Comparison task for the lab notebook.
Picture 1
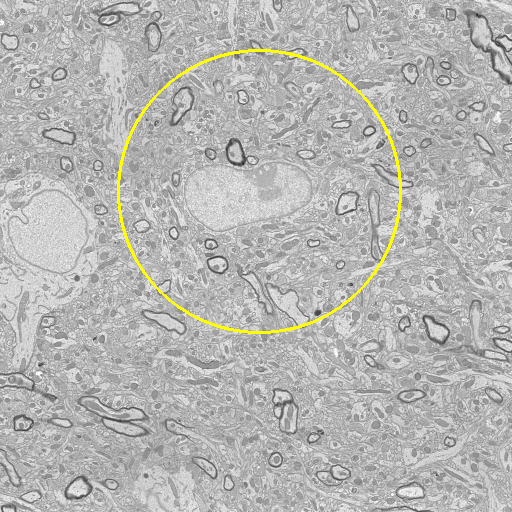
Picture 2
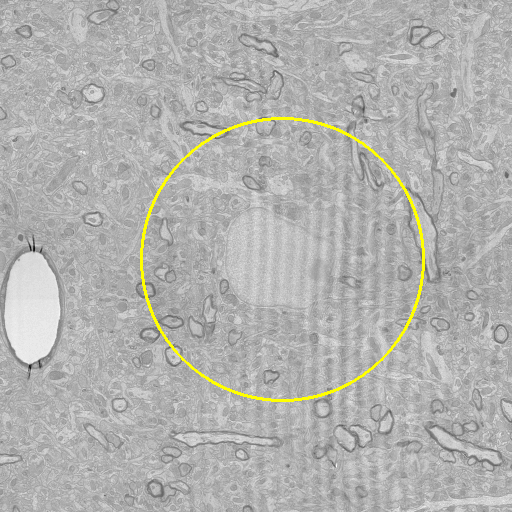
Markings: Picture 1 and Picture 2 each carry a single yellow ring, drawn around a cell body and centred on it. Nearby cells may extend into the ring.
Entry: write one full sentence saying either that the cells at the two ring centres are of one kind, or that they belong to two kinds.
The cells sitting at the ring centres in Picture 1 and Picture 2 are of one kind.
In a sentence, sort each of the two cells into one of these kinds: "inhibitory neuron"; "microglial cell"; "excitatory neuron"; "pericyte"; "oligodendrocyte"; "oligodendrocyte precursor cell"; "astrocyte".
Each of the two pictures has an astrocyte at the ring centre.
